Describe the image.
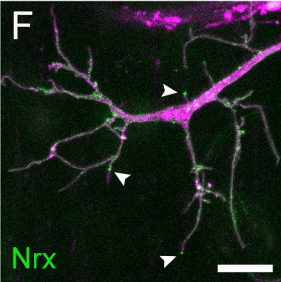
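A thick magenta axon runs diagonally and gives off several thinner branches. The branches bear many short thin side protrusions, the filopodia. Small green puncta lie along the branches and on some of the filopodia, often near their tips. The background is dark with little other structure.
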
